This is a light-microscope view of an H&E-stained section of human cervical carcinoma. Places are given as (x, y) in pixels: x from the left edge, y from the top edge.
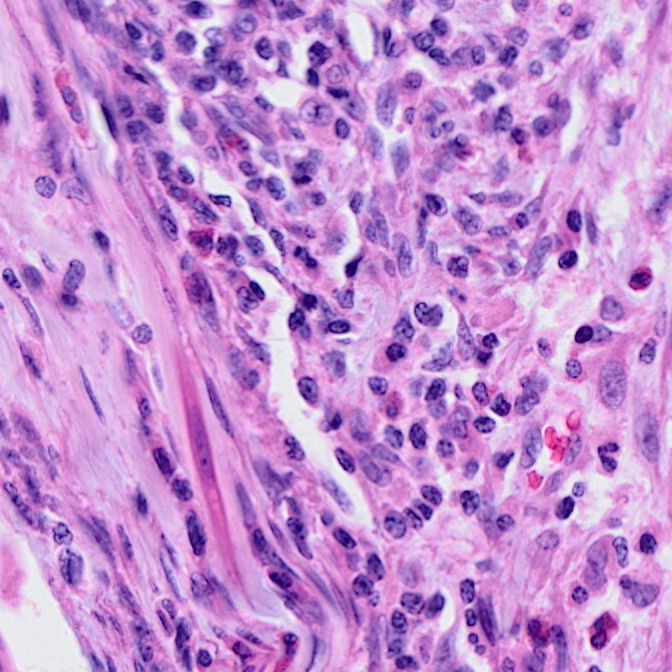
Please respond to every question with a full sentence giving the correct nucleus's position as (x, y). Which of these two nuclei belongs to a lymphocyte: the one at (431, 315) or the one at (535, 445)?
The nucleus belonging to a lymphocyte is the one at (431, 315).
